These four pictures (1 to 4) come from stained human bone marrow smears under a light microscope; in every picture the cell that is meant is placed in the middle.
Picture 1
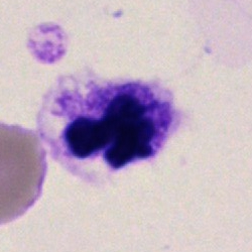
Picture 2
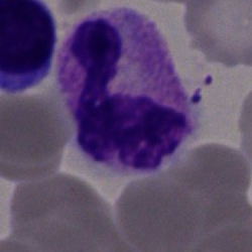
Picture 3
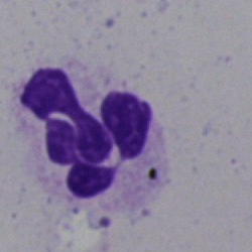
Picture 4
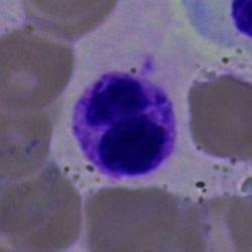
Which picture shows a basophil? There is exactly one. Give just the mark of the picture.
4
